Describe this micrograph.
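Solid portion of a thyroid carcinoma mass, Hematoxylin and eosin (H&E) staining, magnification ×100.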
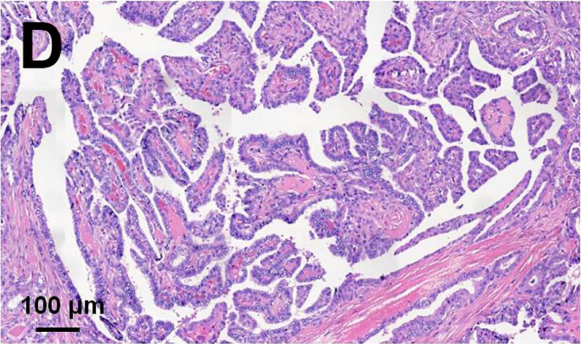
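This shows tumour tissue built of many branching nipple-like bulges, or papillae, that project into clear spaces. Each frond has a pink core of connective tissue, some with small vessels holding red blood cells. The fronds are lined by a layer of crowded cuboidal to columnar epithelial cells with purple, closely packed, partly overlapping nuclei. The fronds branch and interlock into a complex pattern, separated by narrow white clefts. A band of dense pink fibrous tissue runs along the lower right edge.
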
